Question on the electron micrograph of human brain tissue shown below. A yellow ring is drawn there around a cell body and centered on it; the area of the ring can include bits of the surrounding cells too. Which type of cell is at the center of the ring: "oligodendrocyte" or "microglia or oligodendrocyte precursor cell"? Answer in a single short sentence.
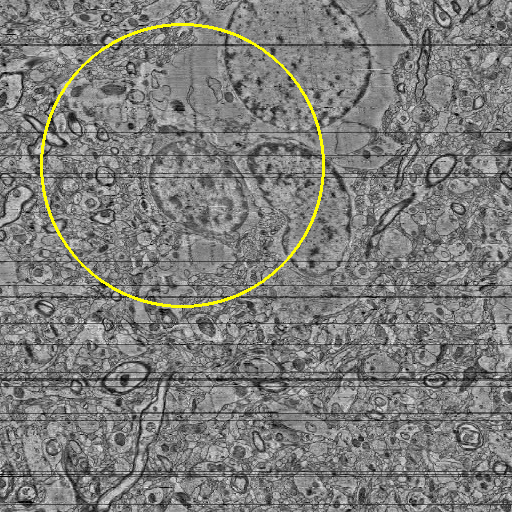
The ring is centered on an oligodendrocyte.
